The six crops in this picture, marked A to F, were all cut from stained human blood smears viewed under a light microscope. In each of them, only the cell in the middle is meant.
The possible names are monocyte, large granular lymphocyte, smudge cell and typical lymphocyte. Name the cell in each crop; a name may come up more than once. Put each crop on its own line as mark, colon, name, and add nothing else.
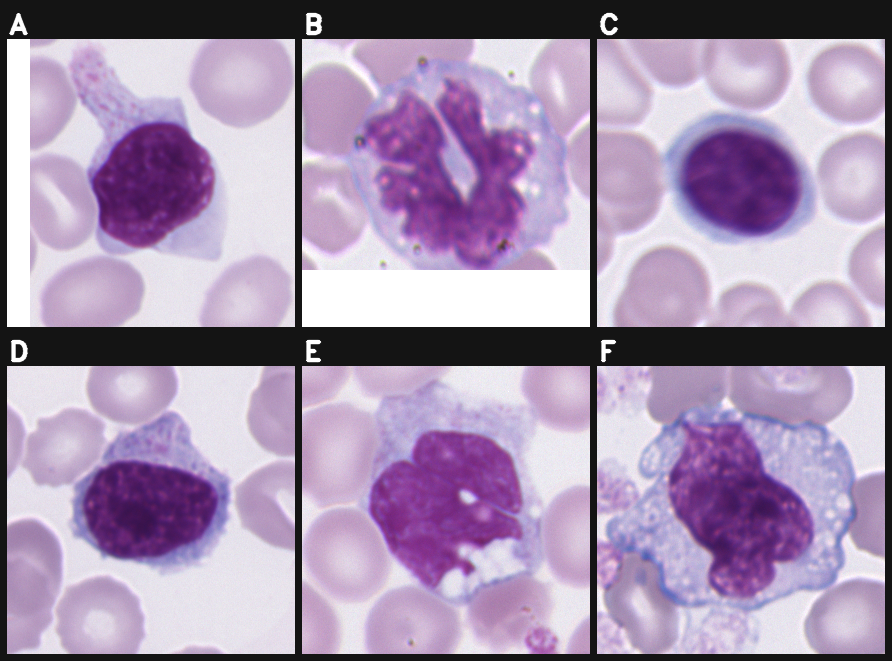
A: large granular lymphocyte
B: monocyte
C: typical lymphocyte
D: large granular lymphocyte
E: monocyte
F: monocyte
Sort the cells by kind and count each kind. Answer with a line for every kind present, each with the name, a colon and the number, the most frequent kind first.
monocyte: 3
large granular lymphocyte: 2
typical lymphocyte: 1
